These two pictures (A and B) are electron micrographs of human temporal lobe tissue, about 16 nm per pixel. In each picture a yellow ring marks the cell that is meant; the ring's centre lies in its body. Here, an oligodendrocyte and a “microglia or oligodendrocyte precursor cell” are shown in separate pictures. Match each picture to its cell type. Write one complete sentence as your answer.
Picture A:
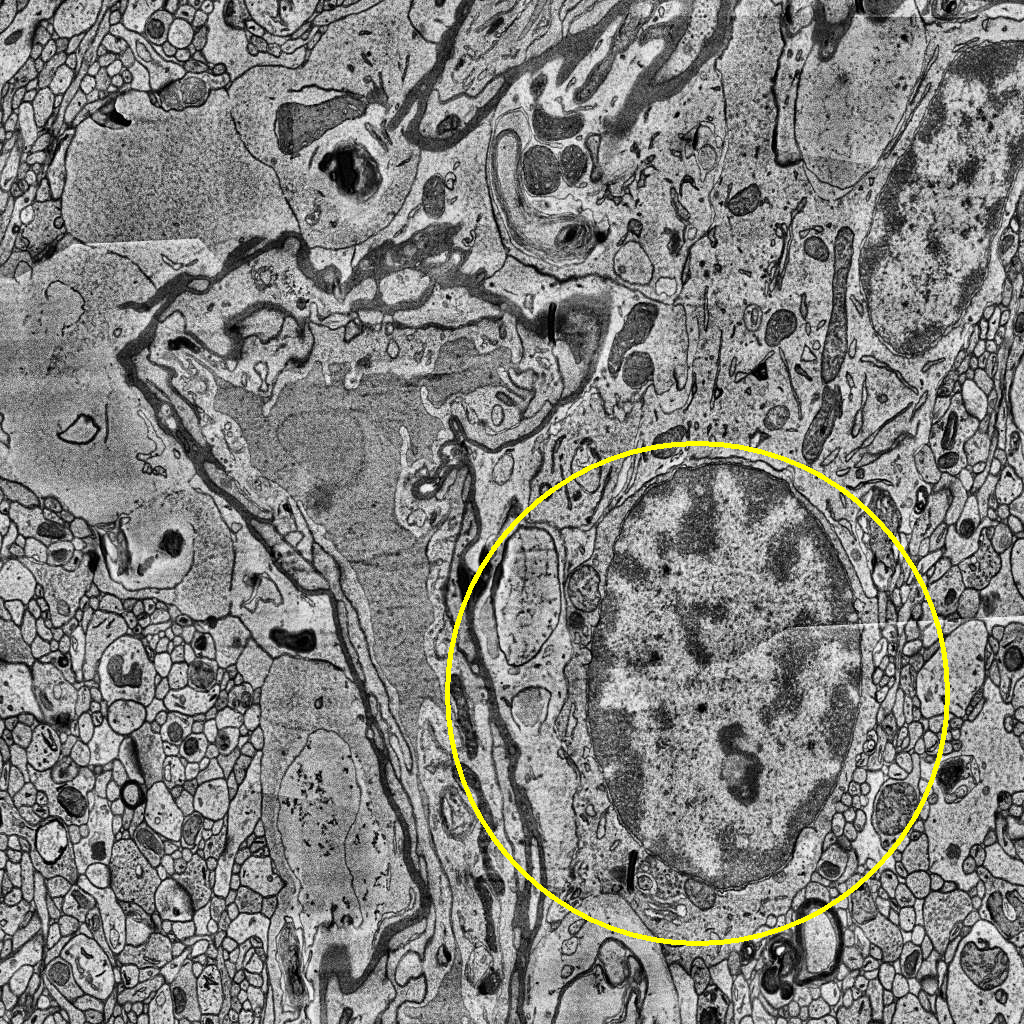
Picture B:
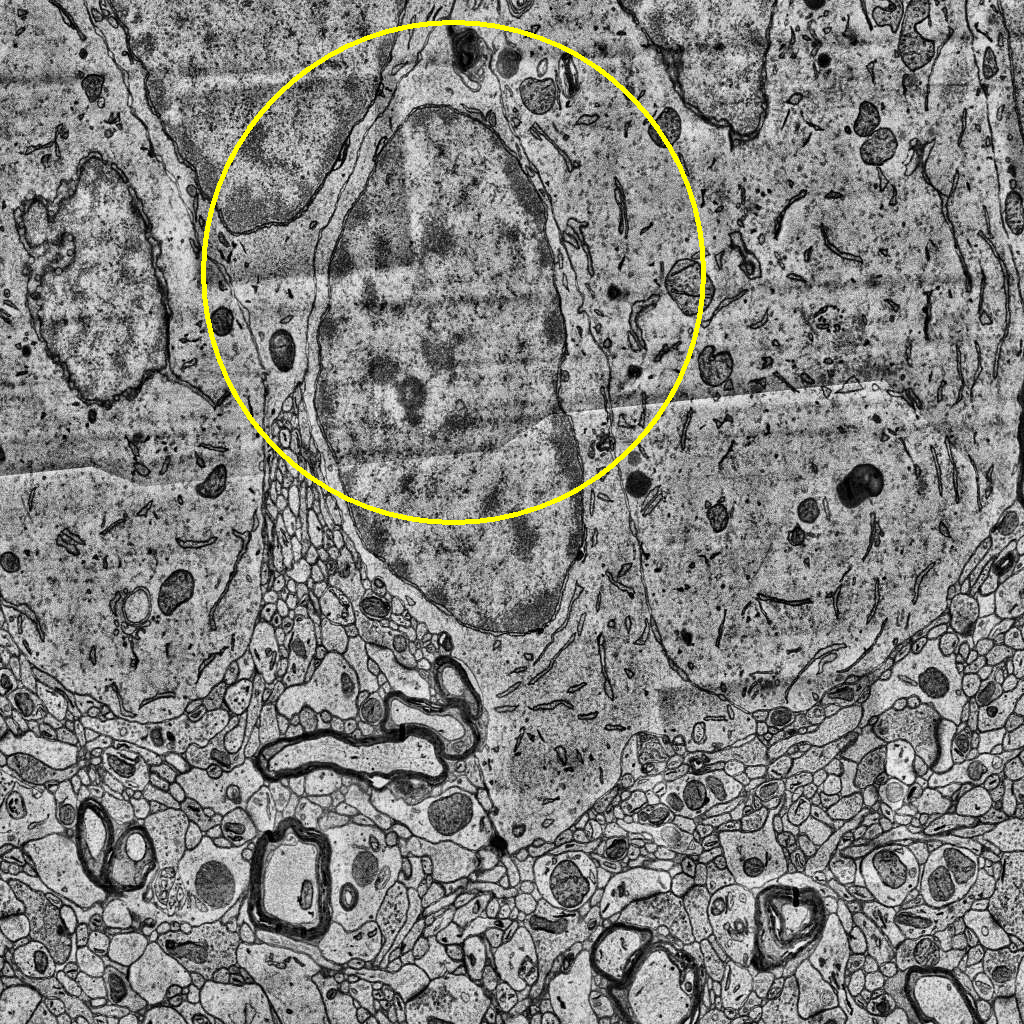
In picture A the cell is an oligodendrocyte; in picture B, a “microglia or oligodendrocyte precursor cell”.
